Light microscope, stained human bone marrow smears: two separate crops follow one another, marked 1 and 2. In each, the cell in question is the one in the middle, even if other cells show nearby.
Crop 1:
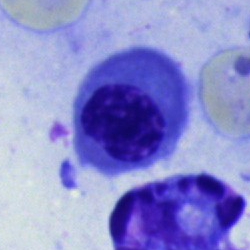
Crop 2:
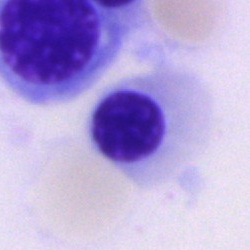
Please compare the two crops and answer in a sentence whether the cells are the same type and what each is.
Yes, the cells that the two crops centre on are normoblasts.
